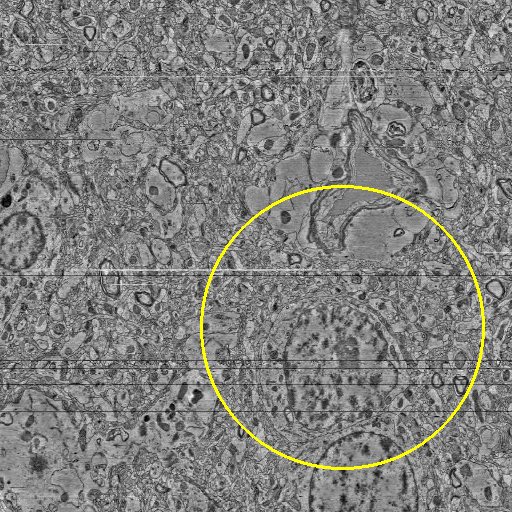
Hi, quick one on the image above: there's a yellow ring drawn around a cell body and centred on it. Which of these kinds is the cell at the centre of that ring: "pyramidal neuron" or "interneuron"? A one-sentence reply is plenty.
The cell at the centre of the ring is an interneuron.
